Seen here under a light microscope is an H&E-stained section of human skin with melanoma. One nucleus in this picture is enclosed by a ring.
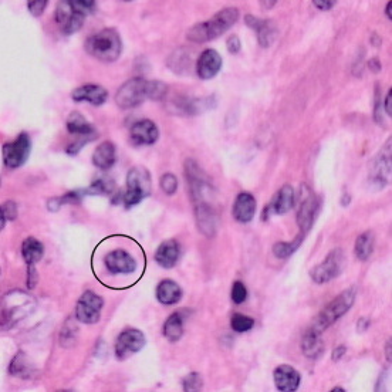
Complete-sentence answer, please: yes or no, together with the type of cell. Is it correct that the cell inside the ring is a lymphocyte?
Yes, the cell inside the ring is identified as a lymphocyte in this section.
